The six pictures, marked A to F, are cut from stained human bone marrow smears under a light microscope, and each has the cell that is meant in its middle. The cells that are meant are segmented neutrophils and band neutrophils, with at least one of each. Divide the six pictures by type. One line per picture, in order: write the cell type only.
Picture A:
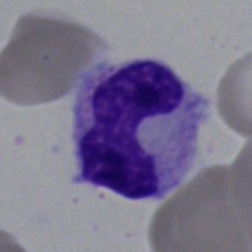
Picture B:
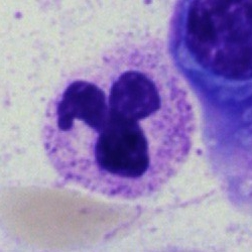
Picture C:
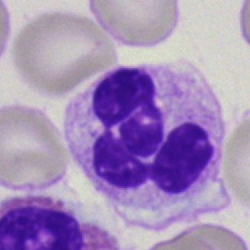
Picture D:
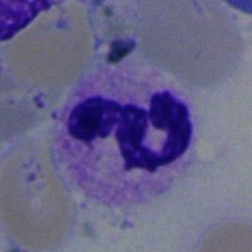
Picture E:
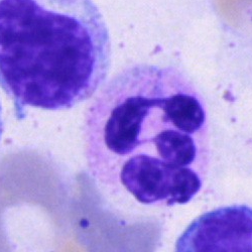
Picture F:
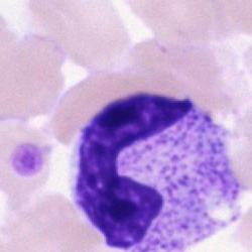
band neutrophil
segmented neutrophil
segmented neutrophil
segmented neutrophil
segmented neutrophil
band neutrophil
